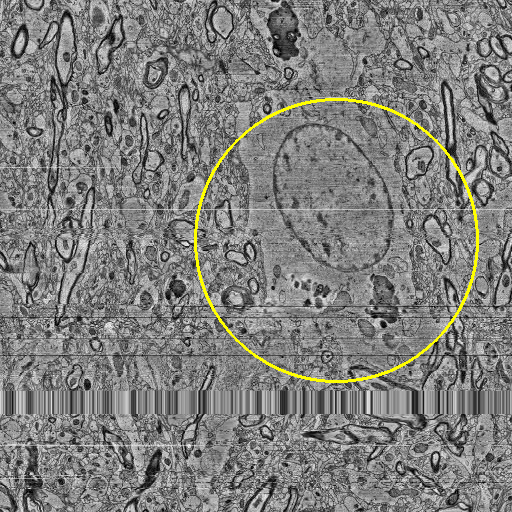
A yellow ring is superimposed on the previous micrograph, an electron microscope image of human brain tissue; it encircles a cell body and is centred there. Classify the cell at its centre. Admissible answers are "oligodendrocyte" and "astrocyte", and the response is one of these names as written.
astrocyte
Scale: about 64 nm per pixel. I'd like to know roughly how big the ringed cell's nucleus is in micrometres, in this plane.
Roughly 10 by 7 micrometres is the size of the nucleus in this plane.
